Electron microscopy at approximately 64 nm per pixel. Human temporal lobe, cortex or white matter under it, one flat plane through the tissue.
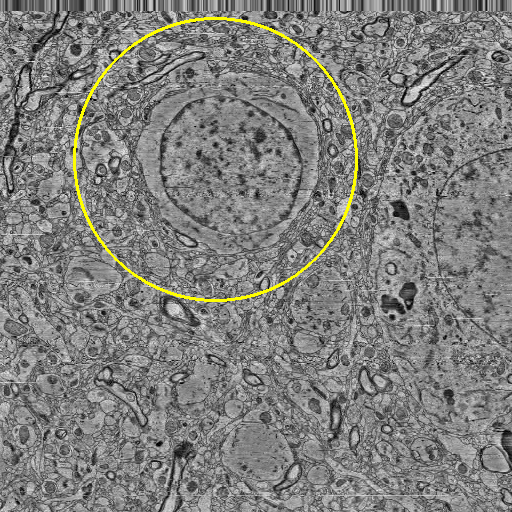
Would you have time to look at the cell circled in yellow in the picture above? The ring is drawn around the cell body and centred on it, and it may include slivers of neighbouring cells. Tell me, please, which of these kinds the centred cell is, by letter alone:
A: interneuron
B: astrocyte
B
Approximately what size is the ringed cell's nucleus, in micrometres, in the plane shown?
The nucleus appears about 9 micrometres across in this plane.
